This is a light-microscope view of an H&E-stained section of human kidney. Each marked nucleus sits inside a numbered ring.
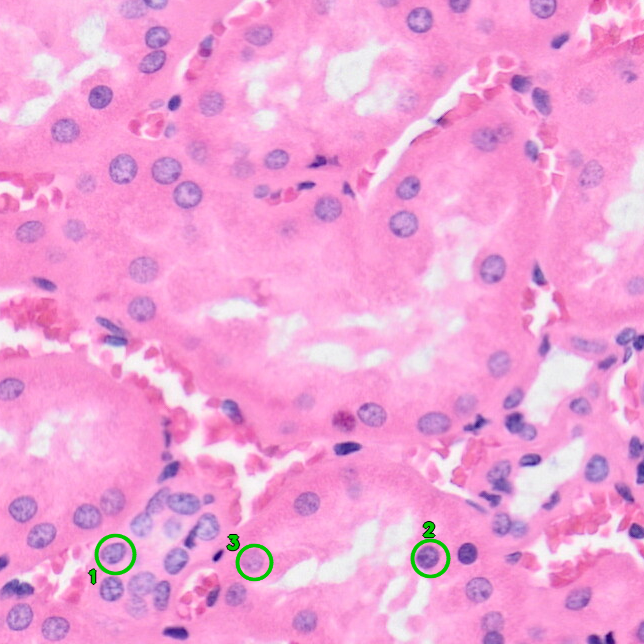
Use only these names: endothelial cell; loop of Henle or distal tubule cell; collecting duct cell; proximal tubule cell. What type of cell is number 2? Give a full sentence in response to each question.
Among the marked nuclei, number 2 belongs to a proximal tubule cell.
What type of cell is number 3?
Cell 3, as marked in the section, is a proximal tubule cell.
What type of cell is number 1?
Numbered cell 1 is a collecting duct cell in this tissue section.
